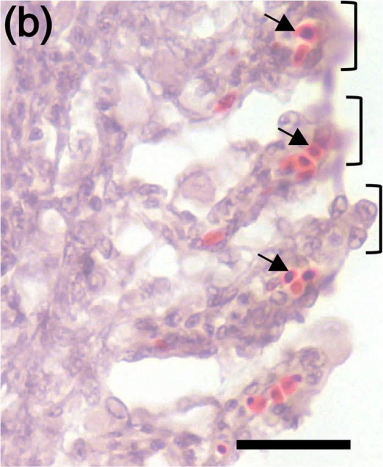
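Gill tissue with slender lamellae extending from a loosely arranged core, separated by clear spaces. Clusters of oval erythrocytes with pink-red cytoplasm and compact dark nuclei sit within the lamellar tips, covered by pale lining cells. The core contains cells with oval purple nuclei and pale cytoplasm.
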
